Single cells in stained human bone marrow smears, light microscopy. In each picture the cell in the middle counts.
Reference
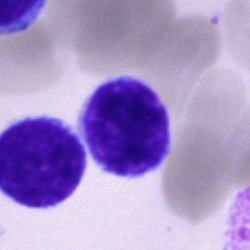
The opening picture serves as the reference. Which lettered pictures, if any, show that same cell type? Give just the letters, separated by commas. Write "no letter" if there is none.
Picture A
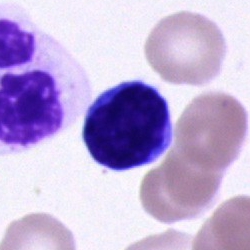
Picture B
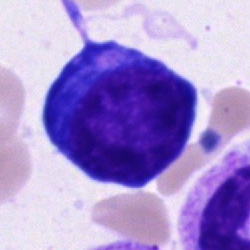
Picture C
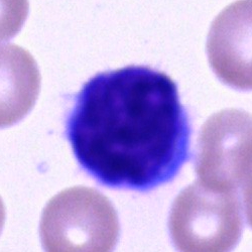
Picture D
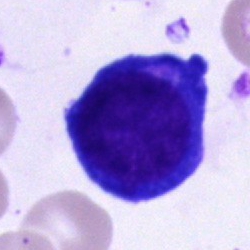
A, C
